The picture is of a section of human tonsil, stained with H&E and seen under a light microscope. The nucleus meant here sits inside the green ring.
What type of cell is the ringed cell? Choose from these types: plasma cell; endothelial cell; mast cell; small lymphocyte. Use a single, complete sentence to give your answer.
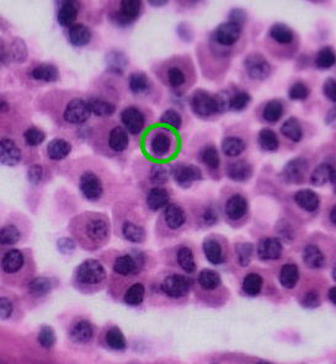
Typologically, the ringed cell is a plasma cell in this section.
